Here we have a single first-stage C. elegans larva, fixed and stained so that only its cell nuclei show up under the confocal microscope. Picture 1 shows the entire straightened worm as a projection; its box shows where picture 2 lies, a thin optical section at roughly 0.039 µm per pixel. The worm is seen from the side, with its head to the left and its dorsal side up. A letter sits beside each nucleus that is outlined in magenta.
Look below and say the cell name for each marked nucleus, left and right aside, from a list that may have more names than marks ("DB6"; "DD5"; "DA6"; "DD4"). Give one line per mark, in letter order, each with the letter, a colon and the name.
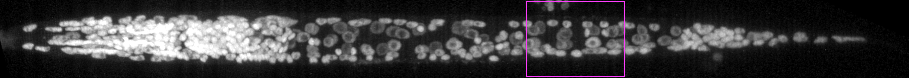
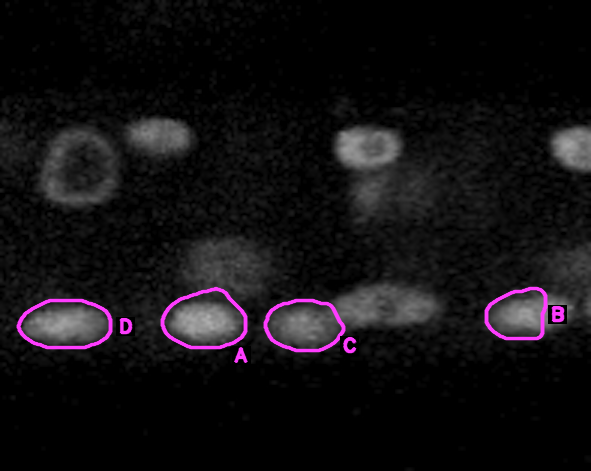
A: DB6
B: DD5
C: DA6
D: DD4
